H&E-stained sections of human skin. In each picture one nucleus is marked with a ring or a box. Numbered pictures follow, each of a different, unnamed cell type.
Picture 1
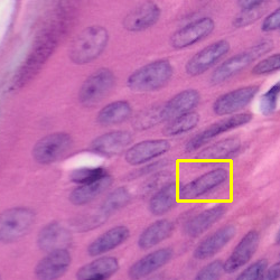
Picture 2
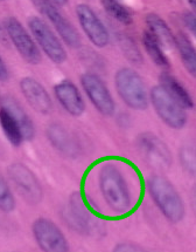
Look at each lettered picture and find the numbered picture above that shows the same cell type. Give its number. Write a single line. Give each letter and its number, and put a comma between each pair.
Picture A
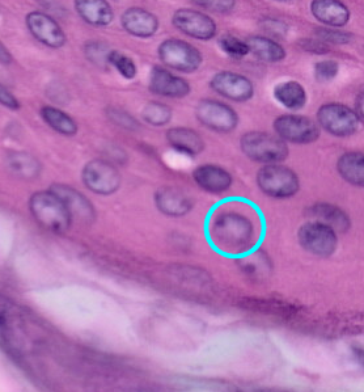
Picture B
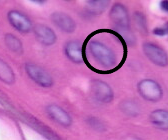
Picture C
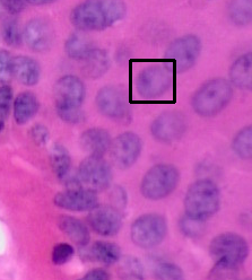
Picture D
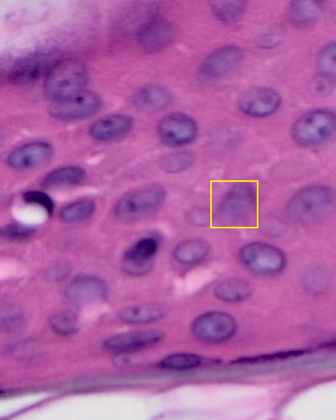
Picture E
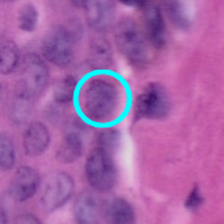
A 2, B 2, C 2, D 2, E 1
